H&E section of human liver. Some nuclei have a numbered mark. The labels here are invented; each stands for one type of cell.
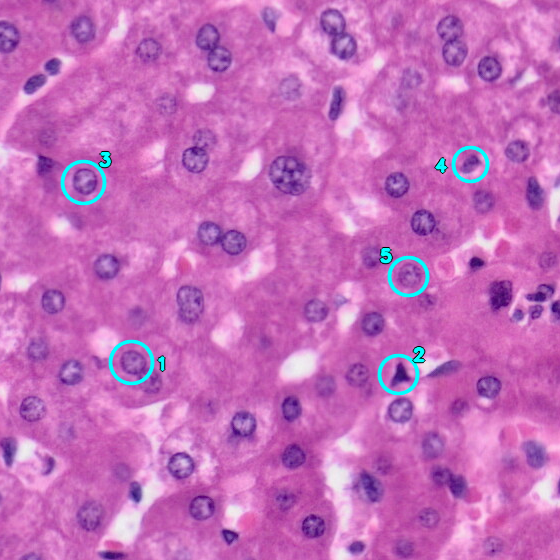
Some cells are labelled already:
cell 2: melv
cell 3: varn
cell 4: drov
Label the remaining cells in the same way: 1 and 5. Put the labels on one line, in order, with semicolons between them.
varn; varn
